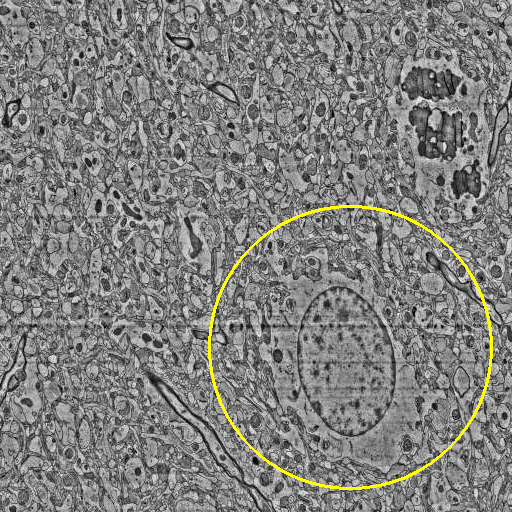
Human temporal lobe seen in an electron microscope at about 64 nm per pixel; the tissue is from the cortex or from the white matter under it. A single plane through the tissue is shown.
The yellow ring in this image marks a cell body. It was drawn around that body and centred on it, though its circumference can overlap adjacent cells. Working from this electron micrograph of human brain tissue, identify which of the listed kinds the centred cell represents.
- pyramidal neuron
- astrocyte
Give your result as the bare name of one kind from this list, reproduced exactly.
astrocyte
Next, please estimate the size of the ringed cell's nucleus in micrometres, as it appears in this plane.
The nucleus measures about 10 by 6 micrometres, so it is clearly longer than it is wide in this plane.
